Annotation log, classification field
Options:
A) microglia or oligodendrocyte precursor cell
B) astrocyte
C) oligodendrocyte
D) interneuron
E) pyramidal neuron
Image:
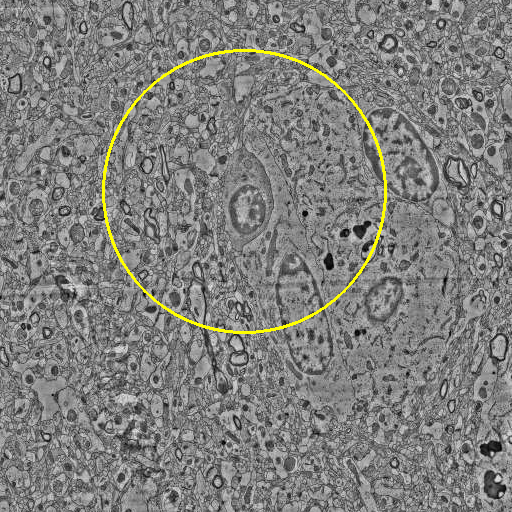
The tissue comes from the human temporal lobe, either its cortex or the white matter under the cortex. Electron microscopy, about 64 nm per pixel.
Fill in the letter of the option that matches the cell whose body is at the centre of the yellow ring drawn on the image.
C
